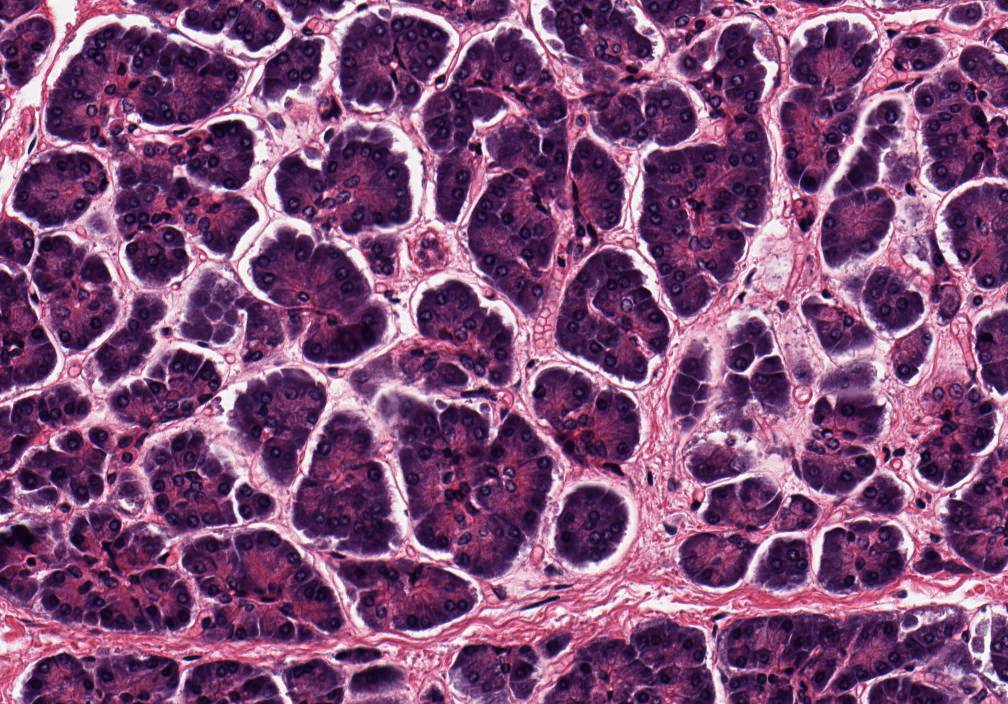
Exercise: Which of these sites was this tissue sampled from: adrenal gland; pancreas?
pancreas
